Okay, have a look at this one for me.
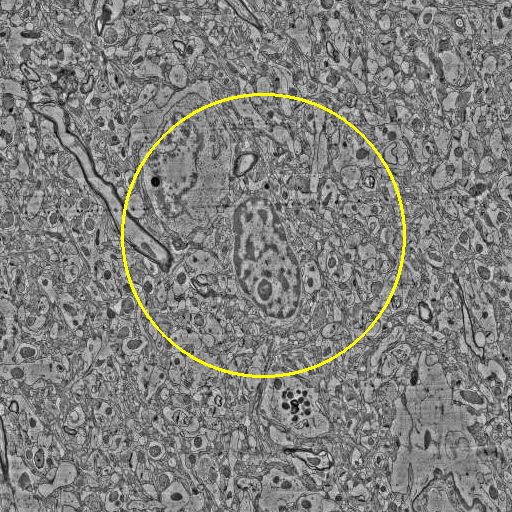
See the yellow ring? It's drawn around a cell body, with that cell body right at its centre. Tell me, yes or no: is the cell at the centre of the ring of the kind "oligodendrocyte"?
No, it belongs to another kind.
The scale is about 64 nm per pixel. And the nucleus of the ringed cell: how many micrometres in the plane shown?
Roughly 8 micrometres by 4 micrometres, so the nucleus is clearly longer than it is wide in this plane.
